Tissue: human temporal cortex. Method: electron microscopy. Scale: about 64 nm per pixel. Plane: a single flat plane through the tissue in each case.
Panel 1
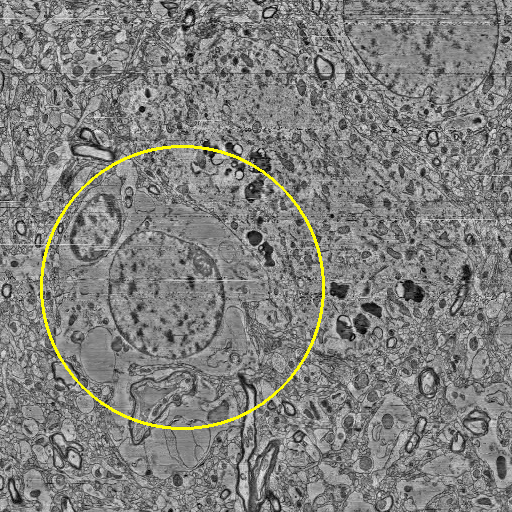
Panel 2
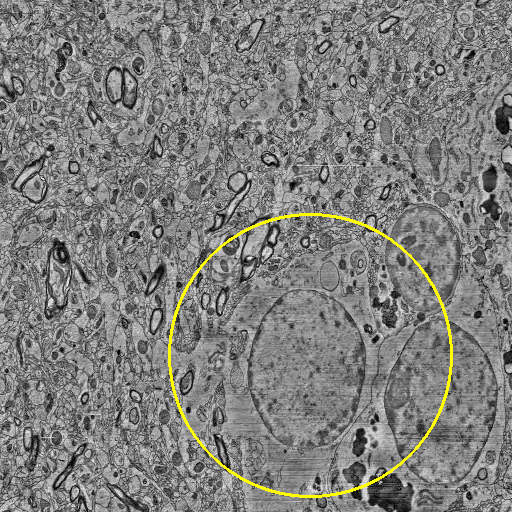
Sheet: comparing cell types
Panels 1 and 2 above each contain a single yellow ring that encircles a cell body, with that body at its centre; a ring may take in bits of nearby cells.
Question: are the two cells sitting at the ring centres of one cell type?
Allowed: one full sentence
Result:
Yes, the ring-centre cells in Panel 1 and Panel 2 are of one type.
